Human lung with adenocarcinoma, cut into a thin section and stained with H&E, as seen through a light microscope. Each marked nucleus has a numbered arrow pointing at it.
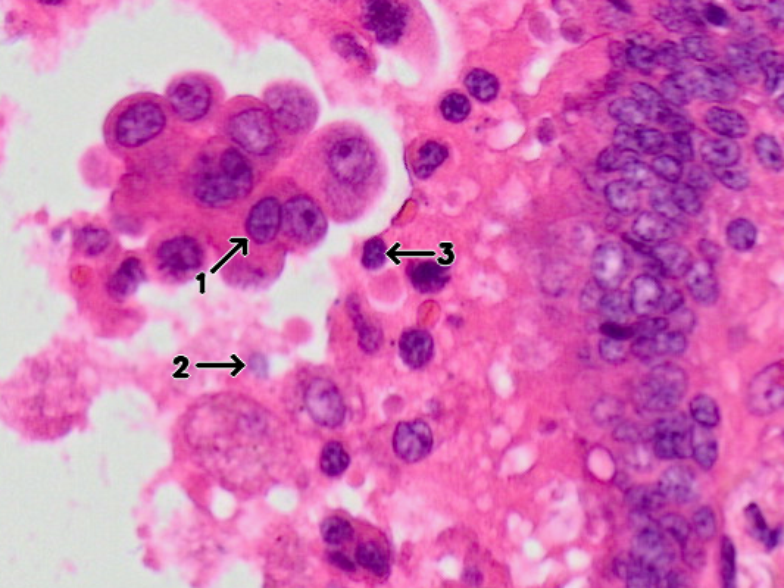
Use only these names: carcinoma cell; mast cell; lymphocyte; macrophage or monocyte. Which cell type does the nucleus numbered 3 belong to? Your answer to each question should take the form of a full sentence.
Nucleus 3 in this section belongs to a lymphocyte.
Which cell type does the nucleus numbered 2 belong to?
To a macrophage or monocyte belongs the nucleus marked 2.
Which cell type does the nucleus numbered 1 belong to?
The cell that carries the label 1 is a carcinoma cell.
